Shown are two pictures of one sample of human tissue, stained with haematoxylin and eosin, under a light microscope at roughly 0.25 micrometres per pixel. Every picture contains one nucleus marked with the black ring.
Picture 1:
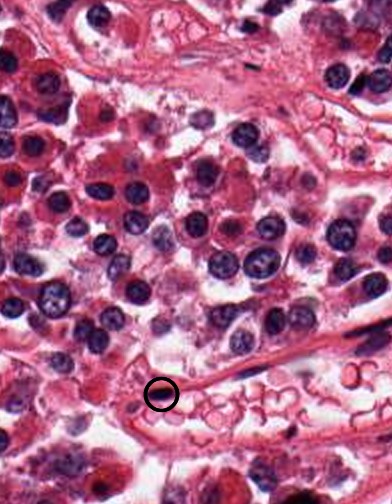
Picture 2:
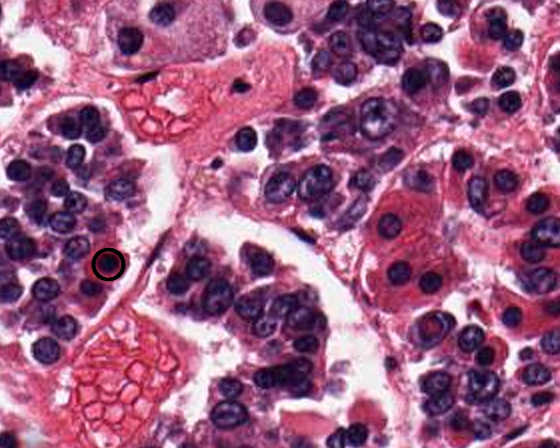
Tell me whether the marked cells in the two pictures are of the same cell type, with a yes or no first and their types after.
No, the first is an endothelial cell and the second an anterior pituitary cell.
